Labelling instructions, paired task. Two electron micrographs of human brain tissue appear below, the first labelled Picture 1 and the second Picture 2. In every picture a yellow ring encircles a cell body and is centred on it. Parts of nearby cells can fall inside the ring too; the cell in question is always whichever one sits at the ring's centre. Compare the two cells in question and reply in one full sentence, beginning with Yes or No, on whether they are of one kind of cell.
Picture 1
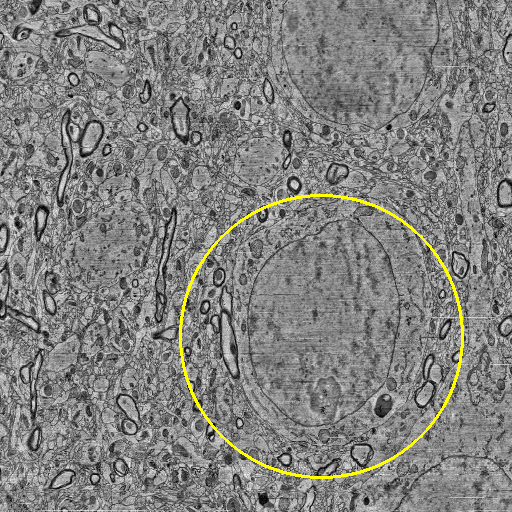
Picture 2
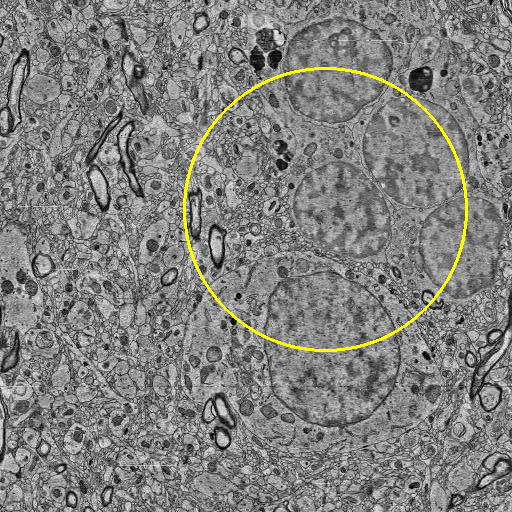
No, the two cells at the ring centres in Picture 1 and Picture 2 are of two kinds.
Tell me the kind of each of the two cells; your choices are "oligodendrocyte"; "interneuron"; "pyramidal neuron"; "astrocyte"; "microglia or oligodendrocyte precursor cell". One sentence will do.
The ringed cell is a pyramidal neuron in the first picture and an oligodendrocyte in the second picture.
